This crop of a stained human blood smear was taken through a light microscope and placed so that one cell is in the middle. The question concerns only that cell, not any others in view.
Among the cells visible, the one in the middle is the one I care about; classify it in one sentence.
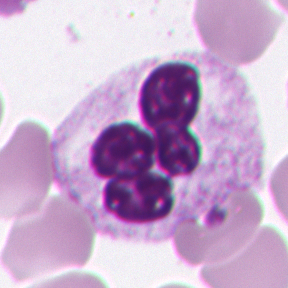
Whatever else lies nearby, the middle cell is a neutrophil.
